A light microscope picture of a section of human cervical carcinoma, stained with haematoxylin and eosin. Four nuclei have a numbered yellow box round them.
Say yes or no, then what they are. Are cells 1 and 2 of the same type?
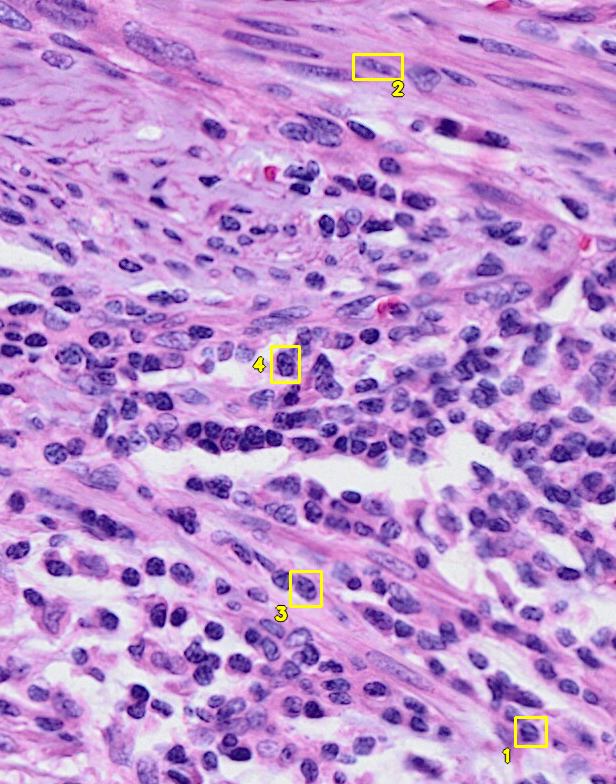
No, cell 1 is identified as a lymphocyte, and cell 2 is identified as a smooth muscle cell.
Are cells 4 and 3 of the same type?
Yes, the numbered cells 4 and 3 are both lymphocytes.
